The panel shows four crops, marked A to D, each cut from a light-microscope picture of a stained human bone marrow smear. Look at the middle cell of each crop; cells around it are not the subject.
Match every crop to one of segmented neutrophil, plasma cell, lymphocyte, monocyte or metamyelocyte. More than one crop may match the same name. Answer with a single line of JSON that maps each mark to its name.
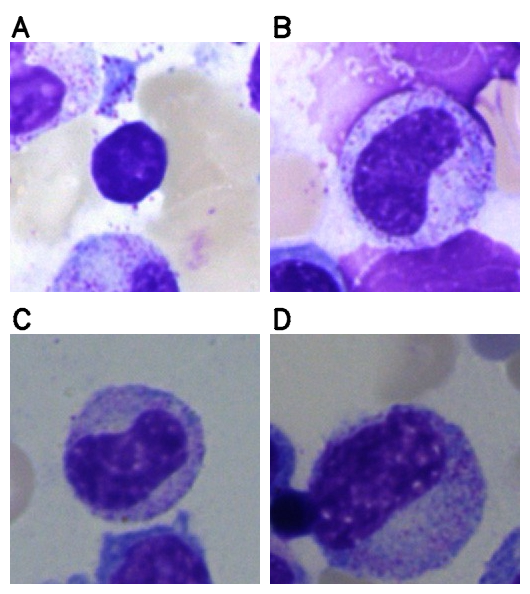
{"A": "lymphocyte", "B": "metamyelocyte", "C": "metamyelocyte", "D": "metamyelocyte"}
